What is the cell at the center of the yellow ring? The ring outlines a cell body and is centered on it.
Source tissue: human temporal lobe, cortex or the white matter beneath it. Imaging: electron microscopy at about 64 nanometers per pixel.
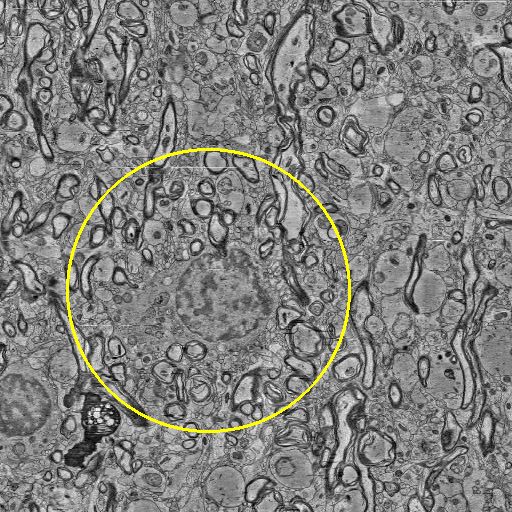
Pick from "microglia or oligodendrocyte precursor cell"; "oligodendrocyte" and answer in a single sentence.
The yellow ring is centered on an oligodendrocyte.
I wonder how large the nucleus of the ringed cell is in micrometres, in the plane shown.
About 6 micrometers across, in this plane.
